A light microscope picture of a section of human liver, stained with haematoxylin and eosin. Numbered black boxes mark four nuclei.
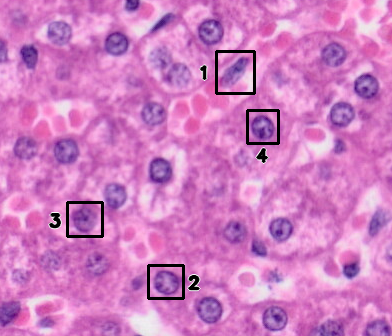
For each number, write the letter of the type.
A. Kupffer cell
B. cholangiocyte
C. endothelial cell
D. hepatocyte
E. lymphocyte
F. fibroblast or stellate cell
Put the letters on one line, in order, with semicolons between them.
A; D; D; D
